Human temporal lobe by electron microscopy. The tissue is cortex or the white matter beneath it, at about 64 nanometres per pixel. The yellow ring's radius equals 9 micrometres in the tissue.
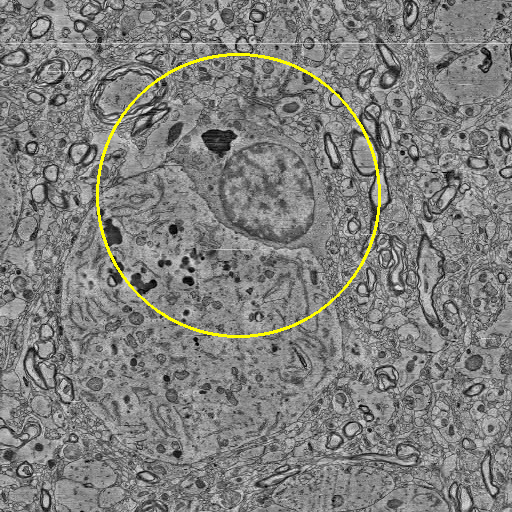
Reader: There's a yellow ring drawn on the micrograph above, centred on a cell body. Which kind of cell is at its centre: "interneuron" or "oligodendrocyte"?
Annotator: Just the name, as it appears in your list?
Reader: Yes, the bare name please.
oligodendrocyte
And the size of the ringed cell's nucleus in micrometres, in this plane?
Roughly 7 micrometres by 6 micrometres, in this plane.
